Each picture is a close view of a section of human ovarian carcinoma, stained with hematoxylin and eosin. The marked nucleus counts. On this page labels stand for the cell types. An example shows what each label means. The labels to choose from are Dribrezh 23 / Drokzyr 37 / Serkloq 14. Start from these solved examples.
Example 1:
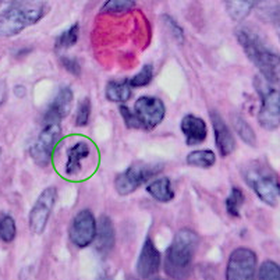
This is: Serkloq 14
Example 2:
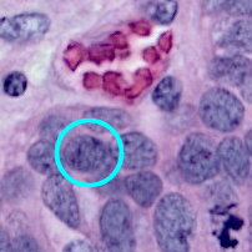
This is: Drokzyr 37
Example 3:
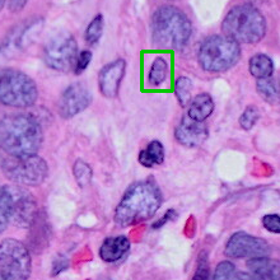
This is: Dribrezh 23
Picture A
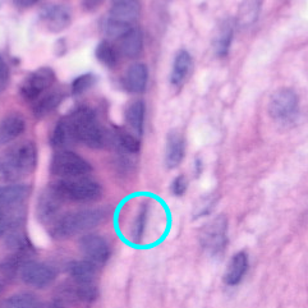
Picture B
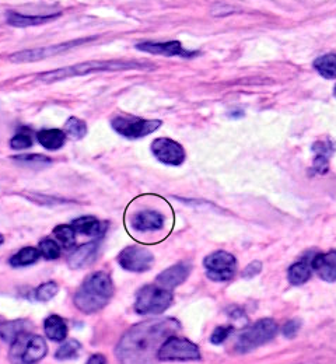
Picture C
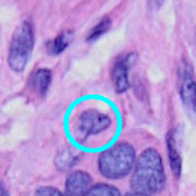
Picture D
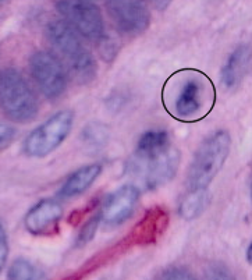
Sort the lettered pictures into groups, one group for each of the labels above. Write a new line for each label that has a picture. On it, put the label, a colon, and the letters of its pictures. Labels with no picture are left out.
Dribrezh 23: A, C
Serkloq 14: B, D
